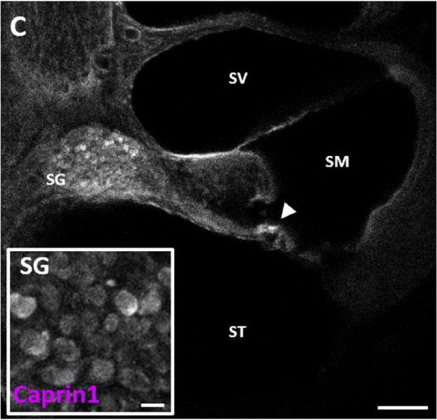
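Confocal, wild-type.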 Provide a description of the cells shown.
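This low-magnification section of a cochlear coil shows three fluid-filled chambers stacked around the cochlear duct, with the spiral ganglion at the left. The ganglion is a cluster of rounded, brightly labelled cell bodies, seen enlarged in the inset as round neurons with bright cytoplasm. A small, bright spot on the floor of the middle chamber marks the sensory epithelium. The walls of the chambers show only faint labelling.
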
